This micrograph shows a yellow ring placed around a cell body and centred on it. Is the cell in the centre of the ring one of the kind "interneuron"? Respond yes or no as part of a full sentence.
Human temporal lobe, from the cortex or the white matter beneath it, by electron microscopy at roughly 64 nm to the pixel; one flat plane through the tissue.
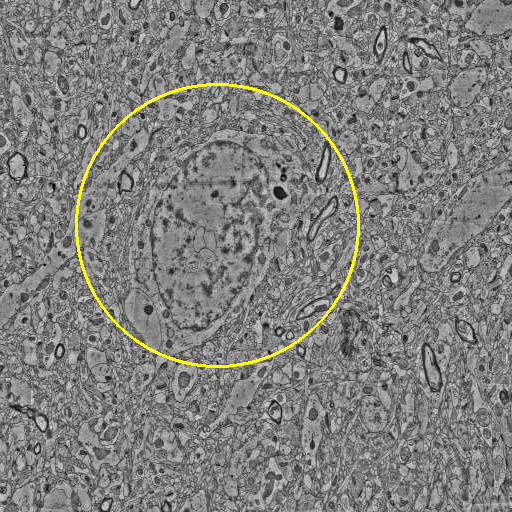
Yes, the cell in the centre of the ring within the picture is one of that kind.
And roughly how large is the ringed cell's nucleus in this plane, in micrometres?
In this plane, approximately 12 by 7 micrometers, and clearly longer than it is wide.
